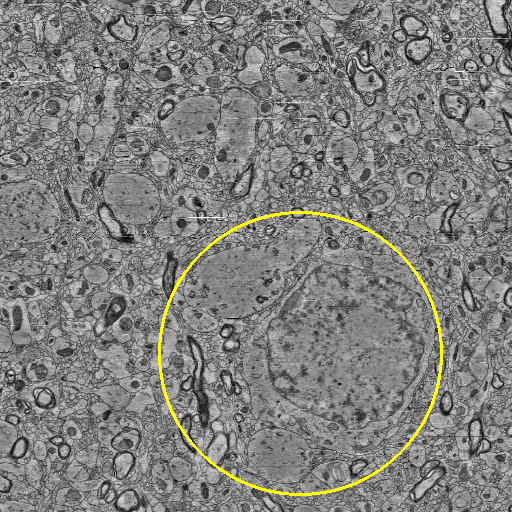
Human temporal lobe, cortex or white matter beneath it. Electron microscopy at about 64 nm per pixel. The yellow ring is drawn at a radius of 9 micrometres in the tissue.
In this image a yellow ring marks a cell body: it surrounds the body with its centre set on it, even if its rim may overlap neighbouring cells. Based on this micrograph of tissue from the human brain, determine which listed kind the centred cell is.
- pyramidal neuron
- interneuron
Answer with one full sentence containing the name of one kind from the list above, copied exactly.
It is an interneuron whose body the yellow ring encloses at its centre.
